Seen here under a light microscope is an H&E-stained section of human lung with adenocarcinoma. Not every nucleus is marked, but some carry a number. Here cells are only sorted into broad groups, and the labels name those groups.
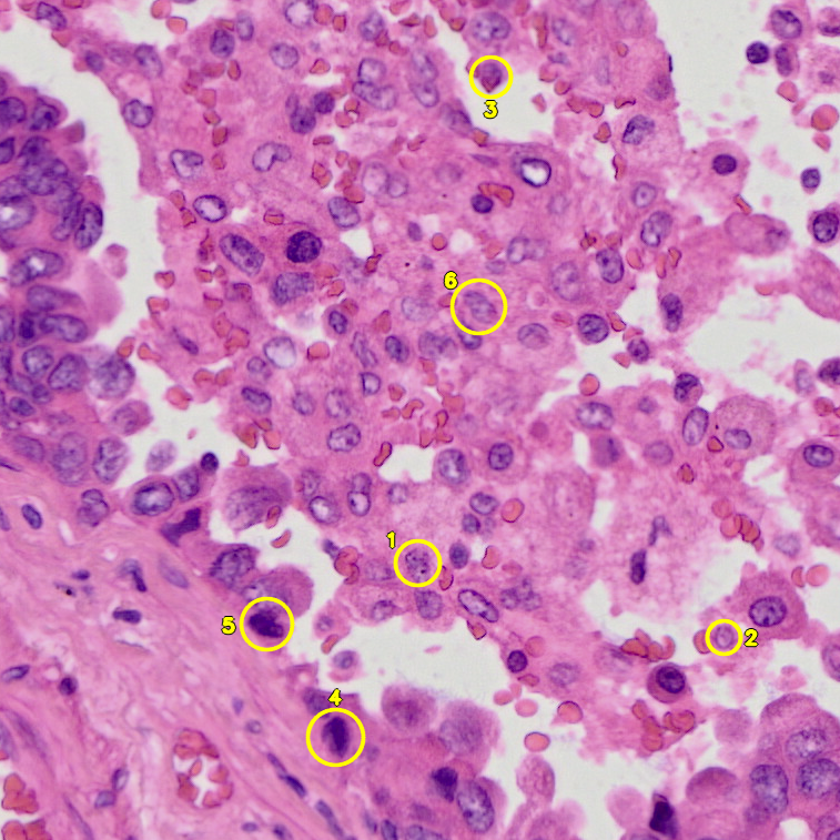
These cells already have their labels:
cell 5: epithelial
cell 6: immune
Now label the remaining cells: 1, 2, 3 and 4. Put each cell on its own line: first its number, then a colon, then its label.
1: immune
2: immune
3: immune
4: epithelial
